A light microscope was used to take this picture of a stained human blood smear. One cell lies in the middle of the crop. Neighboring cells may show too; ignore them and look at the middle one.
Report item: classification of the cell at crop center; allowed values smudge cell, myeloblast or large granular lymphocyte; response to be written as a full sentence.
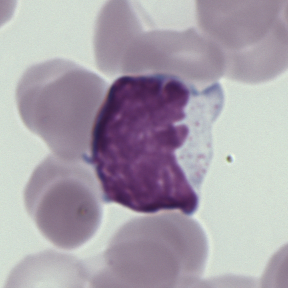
The cell that lies at the centre of the crop is a large granular lymphocyte.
